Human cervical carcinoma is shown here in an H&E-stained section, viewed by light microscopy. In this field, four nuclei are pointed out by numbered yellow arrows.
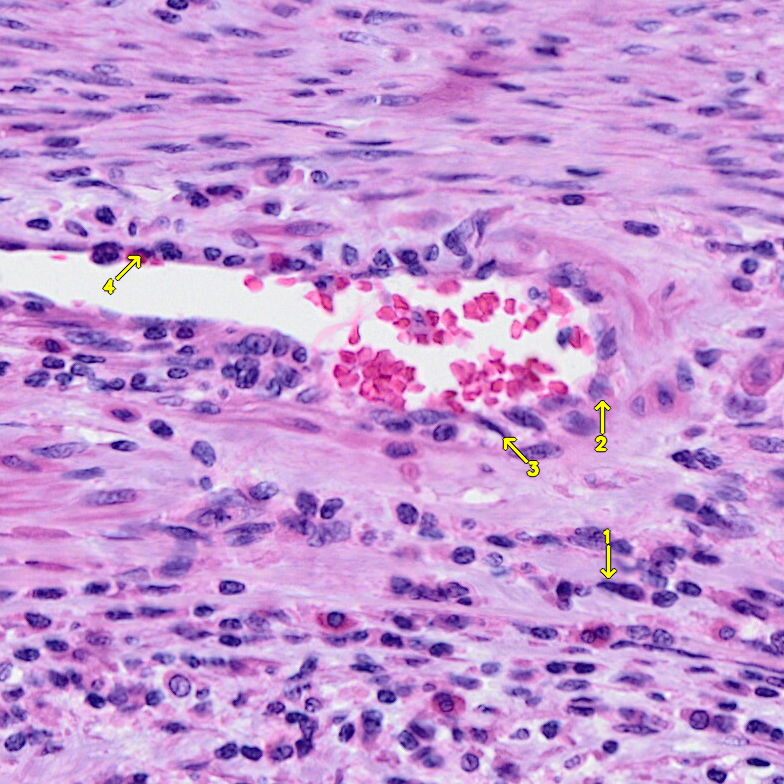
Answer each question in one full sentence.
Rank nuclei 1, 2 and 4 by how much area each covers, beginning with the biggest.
The nuclei rank 2, 1, 4, from largest to smallest.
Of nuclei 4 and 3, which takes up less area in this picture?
Nucleus 4 is the smaller one; nucleus 3 covers about 1.5 times its area.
